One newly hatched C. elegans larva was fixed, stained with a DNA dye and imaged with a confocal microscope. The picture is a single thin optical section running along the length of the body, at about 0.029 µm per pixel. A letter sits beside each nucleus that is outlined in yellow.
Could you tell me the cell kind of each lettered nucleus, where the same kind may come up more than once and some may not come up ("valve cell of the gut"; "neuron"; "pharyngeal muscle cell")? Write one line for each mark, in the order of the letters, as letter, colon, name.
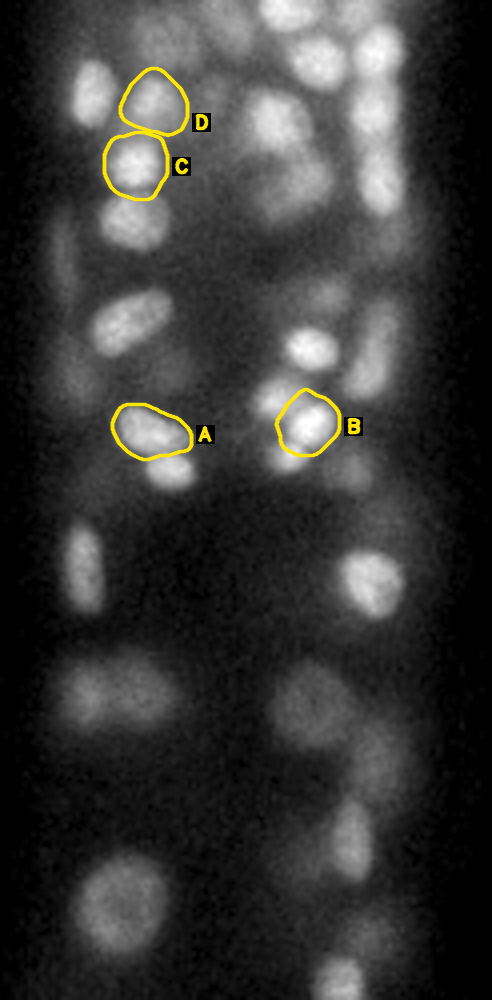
A: valve cell of the gut
B: valve cell of the gut
C: neuron
D: pharyngeal muscle cell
